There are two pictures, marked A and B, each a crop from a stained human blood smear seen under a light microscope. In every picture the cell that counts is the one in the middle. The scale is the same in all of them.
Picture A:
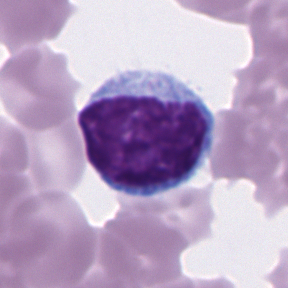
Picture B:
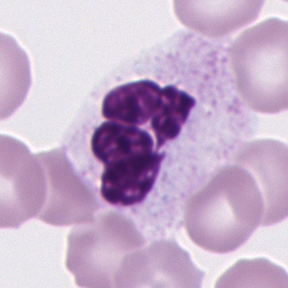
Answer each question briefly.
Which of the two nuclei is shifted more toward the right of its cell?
A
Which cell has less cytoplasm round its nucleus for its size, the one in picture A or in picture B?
A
